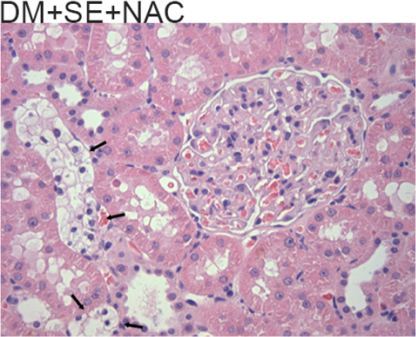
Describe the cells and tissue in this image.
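Kidney cortex with a glomerulus at right, its capillary tuft holding red blood cells, surrounded by tightly packed renal tubules with pink cytoplasm and round purple nuclei. At left an elongated tubule, marked by arrows, is lined by cells whose cytoplasm is pale and filled with clear vacuoles, and a few smaller vacuolated tubules lie below it.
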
